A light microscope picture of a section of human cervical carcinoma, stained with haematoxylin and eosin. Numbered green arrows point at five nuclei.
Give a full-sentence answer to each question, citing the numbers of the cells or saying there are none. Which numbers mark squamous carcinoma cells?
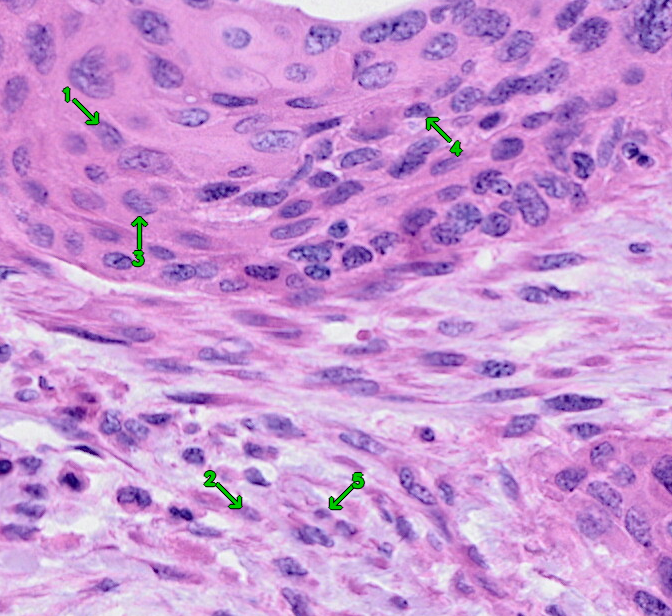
Cells 1, 3 and 4 share one type; they are squamous carcinoma cells.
